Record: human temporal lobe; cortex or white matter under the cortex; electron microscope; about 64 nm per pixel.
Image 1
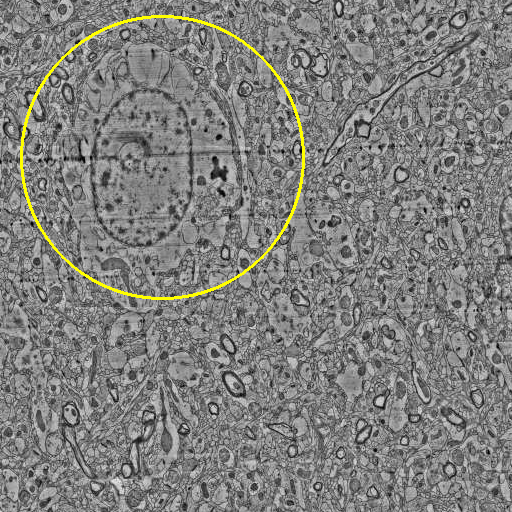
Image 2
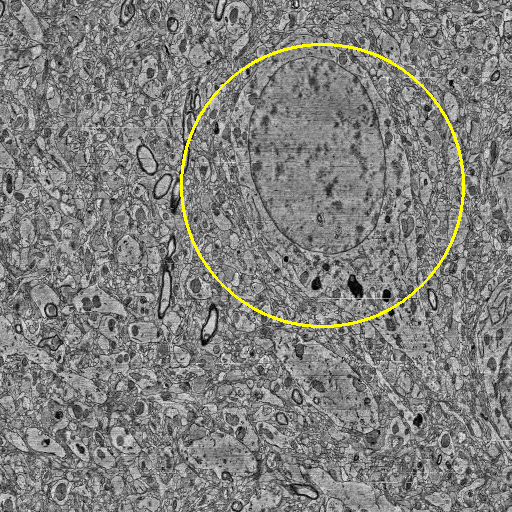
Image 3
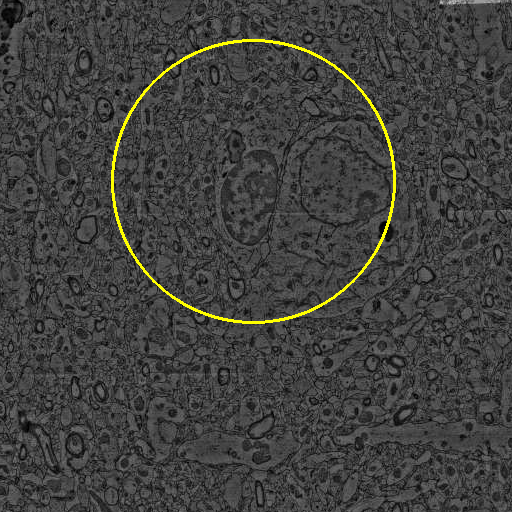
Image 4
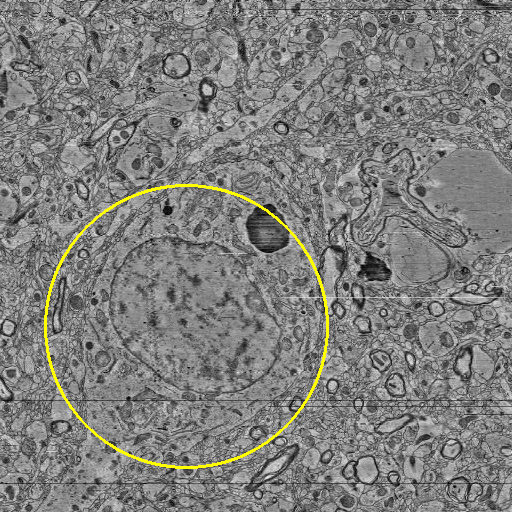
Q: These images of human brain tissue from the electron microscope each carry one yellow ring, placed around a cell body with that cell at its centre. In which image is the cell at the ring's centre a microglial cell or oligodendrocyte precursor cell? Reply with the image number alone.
3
